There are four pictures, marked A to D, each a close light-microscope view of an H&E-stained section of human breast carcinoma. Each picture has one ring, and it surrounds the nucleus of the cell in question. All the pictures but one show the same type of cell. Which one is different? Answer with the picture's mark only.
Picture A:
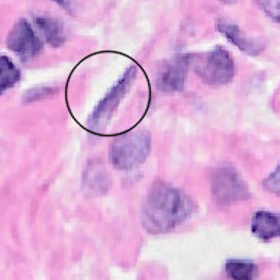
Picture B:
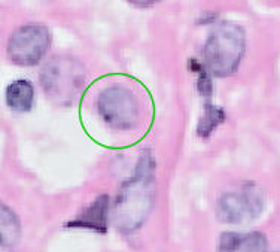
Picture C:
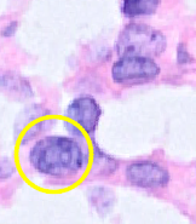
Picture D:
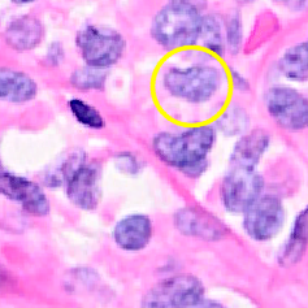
A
